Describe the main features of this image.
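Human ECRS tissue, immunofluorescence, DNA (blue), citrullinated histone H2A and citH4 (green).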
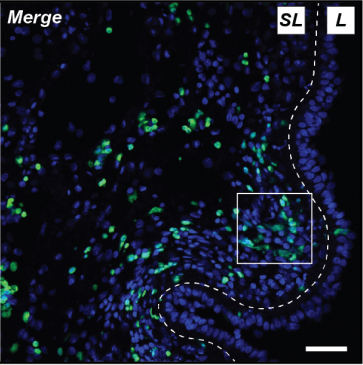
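This is a fluorescence image of the mucosa in which blue nuclei outline a densely packed surface lining of elongated nuclei along the right, separated by a dashed line from the tissue beneath. In the sublining below the dashed line, nuclei are more loosely and irregularly scattered. Many cells in the sublining show green signal, some as compact round spots overlapping nuclei and others as a more smeared, diffuse green. A white box frames an area where green signal is densest, just beneath the lining.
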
